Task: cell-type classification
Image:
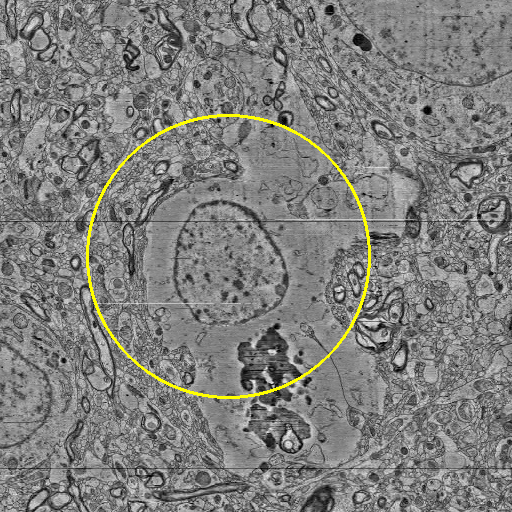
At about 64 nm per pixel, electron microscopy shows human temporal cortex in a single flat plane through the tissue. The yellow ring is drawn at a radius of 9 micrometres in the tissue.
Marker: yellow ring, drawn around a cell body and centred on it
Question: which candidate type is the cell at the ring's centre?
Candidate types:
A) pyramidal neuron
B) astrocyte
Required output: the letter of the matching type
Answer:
B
